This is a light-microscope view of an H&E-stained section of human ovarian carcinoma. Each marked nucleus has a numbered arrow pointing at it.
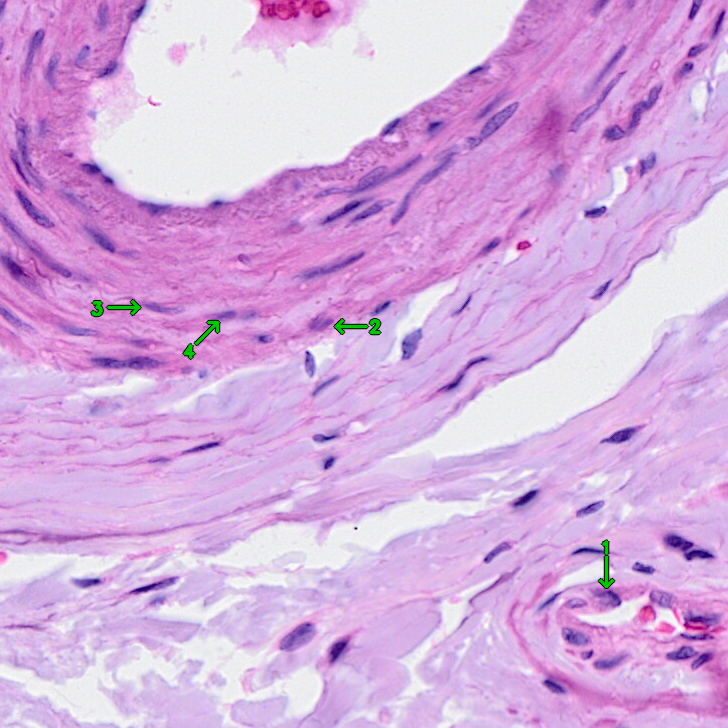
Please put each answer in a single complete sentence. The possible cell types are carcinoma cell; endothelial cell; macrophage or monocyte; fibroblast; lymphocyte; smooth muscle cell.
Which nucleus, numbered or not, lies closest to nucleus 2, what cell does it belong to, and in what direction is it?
The nearest one is a macrophage or monocyte, found below nucleus 2.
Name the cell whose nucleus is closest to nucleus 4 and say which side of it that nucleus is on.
It is a smooth muscle cell, whose nucleus lies to the right of nucleus 4.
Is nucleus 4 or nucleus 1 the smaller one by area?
With nucleus 1 about 2 times its size, nucleus 4 is the smaller of the two.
